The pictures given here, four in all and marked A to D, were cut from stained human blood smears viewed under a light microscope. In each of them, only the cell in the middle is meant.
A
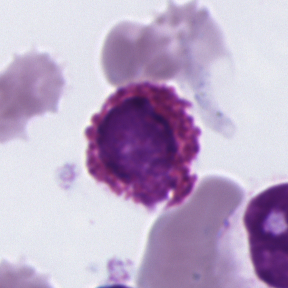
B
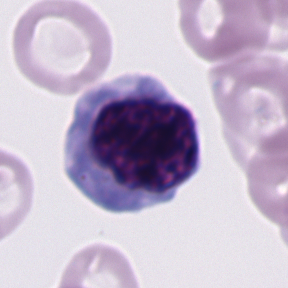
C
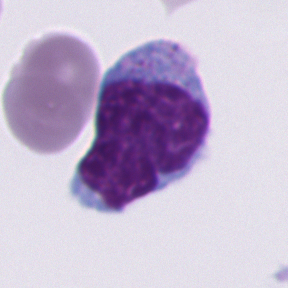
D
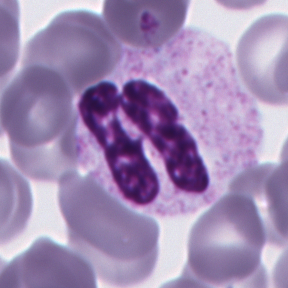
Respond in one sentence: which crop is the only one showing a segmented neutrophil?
Crop D is the crop that displays a segmented neutrophil.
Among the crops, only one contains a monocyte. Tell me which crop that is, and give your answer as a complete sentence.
Of these crops, it is crop C that shows a monocyte.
